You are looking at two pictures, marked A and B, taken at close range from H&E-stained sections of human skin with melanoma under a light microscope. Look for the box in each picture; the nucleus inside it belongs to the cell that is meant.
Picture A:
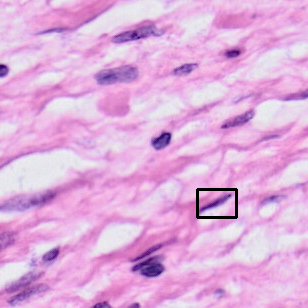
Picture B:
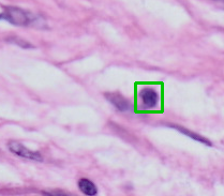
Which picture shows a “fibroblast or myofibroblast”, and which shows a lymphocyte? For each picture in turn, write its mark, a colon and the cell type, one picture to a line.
A: fibroblast or myofibroblast
B: lymphocyte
